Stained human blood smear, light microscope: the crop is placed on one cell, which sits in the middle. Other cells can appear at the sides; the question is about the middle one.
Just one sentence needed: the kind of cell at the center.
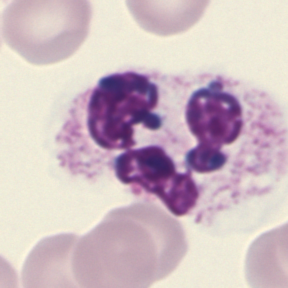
The central cell shown in this smear crop is a neutrophil.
